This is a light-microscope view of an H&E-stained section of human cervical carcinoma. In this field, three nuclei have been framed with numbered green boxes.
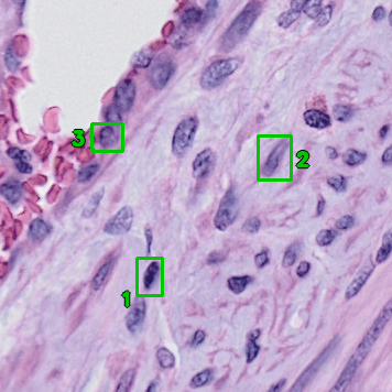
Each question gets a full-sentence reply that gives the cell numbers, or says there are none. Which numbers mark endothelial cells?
Only at number 3 is there an endothelial cell among the marked cells.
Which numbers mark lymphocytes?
Of all the cells bearing numbers, cell 1 is the only one that is a lymphocyte.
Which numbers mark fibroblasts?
Classed by type, none of the numbered cells are fibroblasts.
